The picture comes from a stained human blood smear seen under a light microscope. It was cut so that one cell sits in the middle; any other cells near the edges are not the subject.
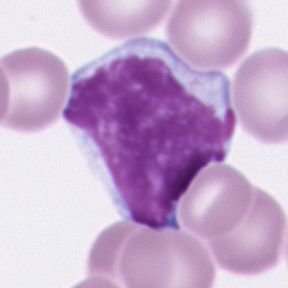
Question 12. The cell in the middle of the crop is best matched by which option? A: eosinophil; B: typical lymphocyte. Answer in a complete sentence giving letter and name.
The cell placed in the middle is a typical lymphocyte; option B is correct.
